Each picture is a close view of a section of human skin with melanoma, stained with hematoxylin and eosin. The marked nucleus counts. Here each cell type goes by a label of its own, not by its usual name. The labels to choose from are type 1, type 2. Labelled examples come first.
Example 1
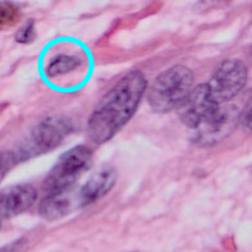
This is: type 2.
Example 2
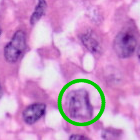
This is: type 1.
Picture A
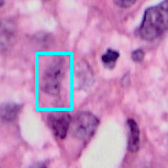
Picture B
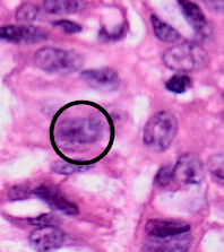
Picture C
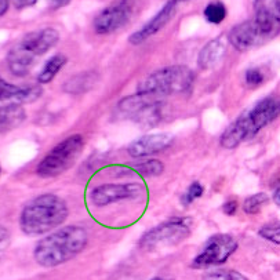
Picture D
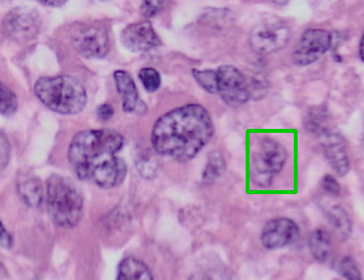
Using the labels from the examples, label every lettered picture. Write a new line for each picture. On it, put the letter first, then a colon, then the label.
A: type 1.
B: type 1.
C: type 1.
D: type 1.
